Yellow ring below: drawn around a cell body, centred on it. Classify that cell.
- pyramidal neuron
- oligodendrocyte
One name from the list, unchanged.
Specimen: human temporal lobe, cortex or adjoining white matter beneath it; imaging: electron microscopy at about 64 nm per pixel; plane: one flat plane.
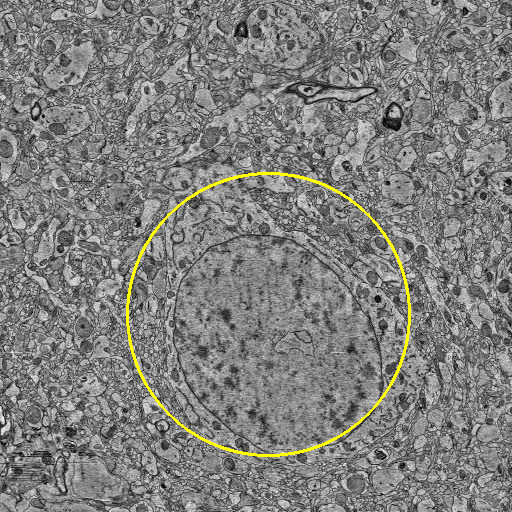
pyramidal neuron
